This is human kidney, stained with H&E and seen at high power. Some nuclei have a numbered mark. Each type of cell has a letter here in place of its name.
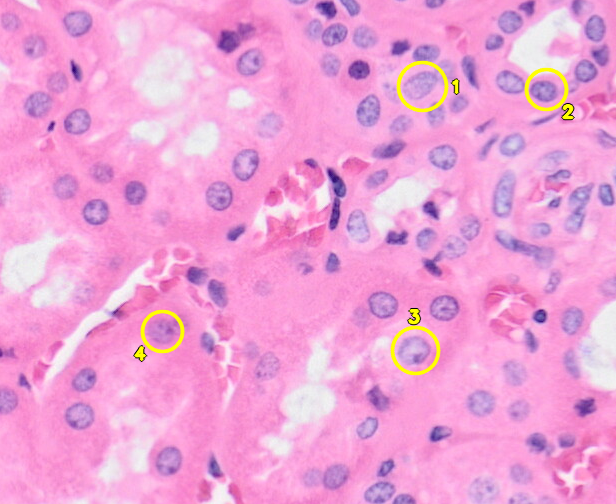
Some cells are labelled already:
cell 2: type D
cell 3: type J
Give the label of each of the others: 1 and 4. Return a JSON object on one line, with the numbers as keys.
{"1": "type D", "4": "type J"}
